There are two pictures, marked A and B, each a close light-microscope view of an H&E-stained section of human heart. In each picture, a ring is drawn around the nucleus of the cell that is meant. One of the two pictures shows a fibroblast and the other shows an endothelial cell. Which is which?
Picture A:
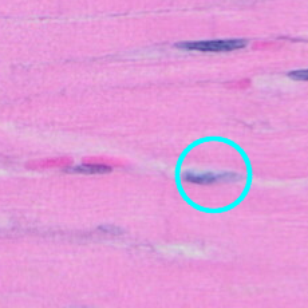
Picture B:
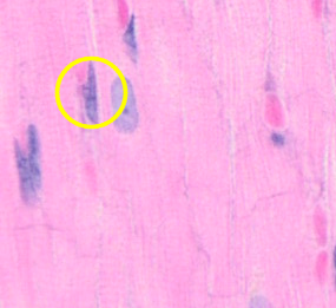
A: fibroblast
B: endothelial cell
